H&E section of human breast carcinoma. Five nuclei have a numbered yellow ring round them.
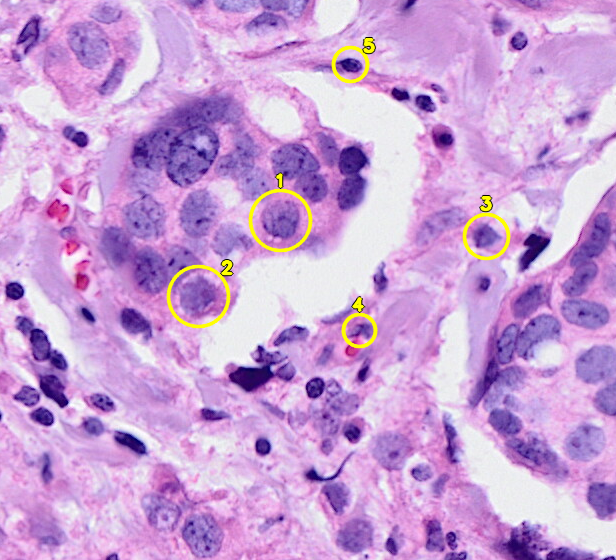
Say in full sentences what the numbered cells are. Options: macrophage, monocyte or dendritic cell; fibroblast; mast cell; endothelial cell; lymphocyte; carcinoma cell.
Cell 1 is a carcinoma cell, cell 2 is a carcinoma cell, cell 3 is a carcinoma cell, cell 4 is an endothelial cell and cell 5 is a lymphocyte.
